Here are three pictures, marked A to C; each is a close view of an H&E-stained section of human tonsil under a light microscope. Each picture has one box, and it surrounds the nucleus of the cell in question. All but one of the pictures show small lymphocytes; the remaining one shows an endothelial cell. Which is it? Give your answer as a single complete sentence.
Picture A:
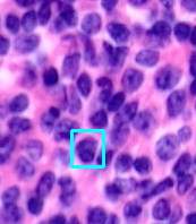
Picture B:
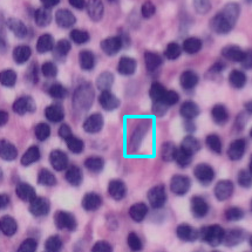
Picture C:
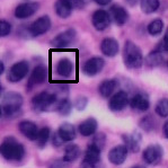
The endothelial cell is the one in picture B.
